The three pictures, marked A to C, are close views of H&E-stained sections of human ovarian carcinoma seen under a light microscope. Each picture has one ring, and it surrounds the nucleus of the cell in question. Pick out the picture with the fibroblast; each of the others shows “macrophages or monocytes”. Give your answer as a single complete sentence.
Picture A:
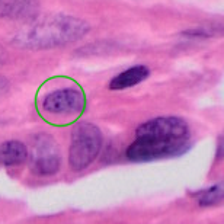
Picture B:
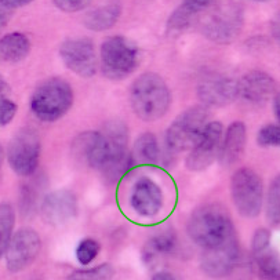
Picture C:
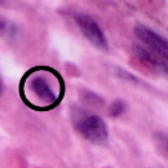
Picture C is the one that shows the fibroblast.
